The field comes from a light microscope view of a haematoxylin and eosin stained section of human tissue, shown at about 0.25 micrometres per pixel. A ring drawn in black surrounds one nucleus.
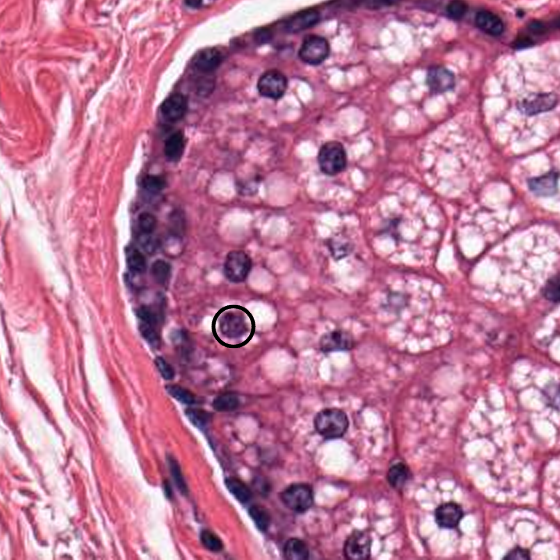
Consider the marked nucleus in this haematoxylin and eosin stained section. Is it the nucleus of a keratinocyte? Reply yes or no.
no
